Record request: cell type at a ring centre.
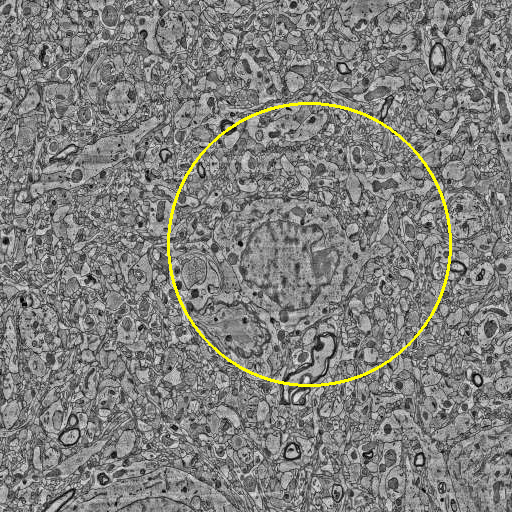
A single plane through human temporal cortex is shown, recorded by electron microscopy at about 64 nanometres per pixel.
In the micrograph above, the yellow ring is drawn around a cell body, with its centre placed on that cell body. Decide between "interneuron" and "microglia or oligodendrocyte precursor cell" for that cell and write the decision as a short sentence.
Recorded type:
The cell centred in the yellow ring is an interneuron.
